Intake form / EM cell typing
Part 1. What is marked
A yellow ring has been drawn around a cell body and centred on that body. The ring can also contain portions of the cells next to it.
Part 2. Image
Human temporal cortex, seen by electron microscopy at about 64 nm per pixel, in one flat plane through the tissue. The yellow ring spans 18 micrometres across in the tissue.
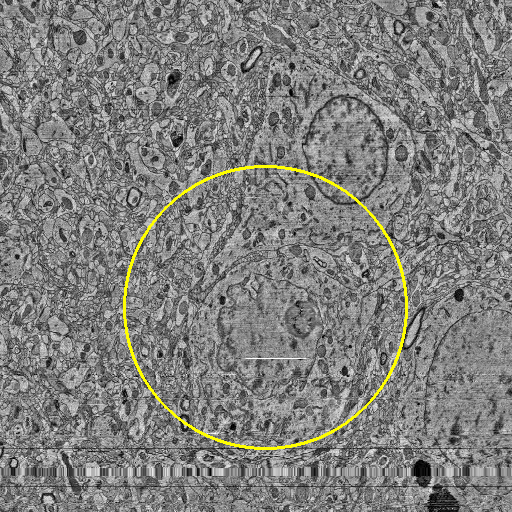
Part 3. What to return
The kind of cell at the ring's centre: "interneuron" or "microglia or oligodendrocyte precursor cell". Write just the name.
interneuron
